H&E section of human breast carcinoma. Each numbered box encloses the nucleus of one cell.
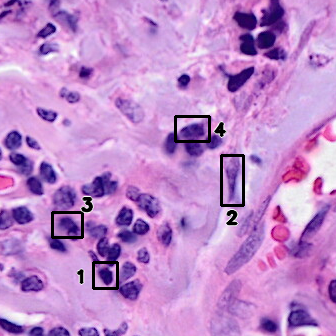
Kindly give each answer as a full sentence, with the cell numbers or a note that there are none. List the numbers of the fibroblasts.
Nothing but cell 2 is a fibroblast among the numbered ones.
